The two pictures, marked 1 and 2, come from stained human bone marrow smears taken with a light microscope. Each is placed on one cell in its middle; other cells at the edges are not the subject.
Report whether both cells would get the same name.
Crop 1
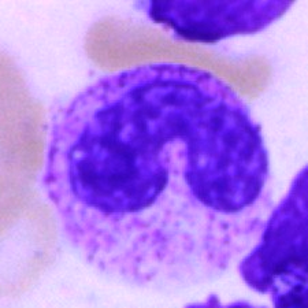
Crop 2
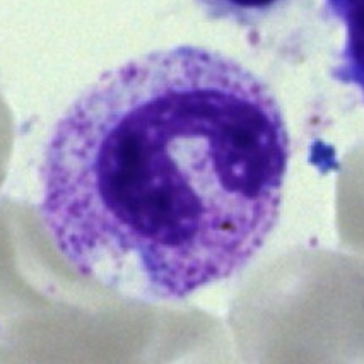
yes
